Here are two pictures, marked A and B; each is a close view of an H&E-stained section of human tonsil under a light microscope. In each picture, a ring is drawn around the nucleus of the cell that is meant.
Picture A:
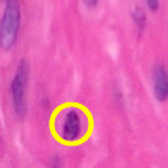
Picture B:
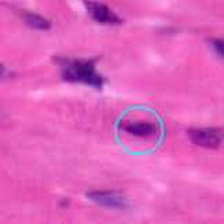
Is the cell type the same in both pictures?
yes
